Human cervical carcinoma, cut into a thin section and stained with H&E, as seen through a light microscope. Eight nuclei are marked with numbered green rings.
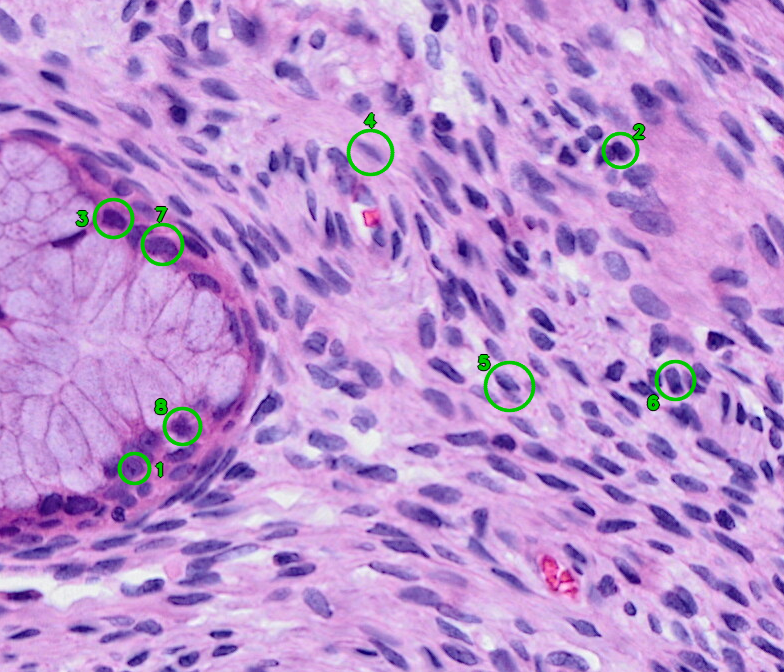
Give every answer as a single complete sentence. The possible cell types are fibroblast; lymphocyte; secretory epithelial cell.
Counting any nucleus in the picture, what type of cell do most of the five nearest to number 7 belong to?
The majority of the five nuclei closest to number 7 belong to secretory epithelial cells.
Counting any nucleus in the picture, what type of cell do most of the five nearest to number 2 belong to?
Around number 2, most of the five nearest nuclei are those of fibroblasts.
